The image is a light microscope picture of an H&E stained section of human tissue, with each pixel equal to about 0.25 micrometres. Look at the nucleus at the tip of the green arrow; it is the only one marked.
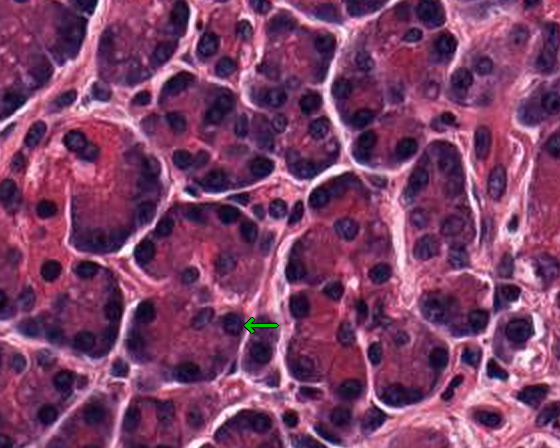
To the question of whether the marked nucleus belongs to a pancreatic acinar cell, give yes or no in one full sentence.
Yes, the marked nucleus belongs to a pancreatic acinar cell.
